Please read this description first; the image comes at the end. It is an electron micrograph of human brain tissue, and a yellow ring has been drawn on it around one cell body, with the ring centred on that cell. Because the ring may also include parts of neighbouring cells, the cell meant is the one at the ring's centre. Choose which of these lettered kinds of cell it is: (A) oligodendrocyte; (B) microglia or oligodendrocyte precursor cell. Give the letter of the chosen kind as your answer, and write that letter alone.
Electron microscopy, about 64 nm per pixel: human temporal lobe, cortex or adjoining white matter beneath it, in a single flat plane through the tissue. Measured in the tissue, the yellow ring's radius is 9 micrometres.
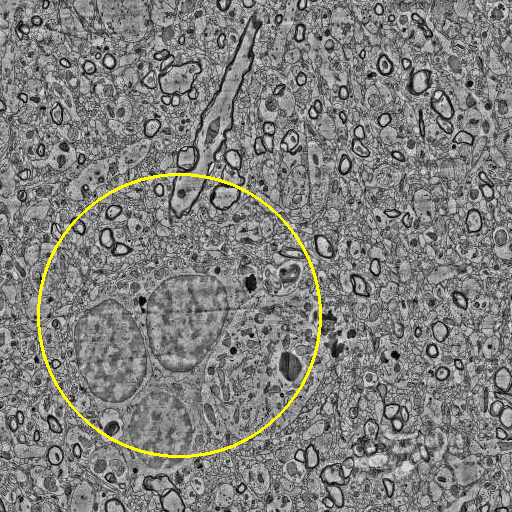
A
